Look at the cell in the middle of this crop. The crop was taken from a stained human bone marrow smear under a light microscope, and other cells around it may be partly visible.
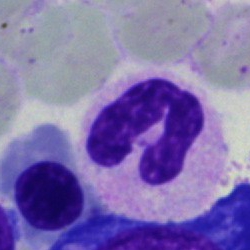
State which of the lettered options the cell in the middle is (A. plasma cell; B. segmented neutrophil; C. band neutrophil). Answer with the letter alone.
B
